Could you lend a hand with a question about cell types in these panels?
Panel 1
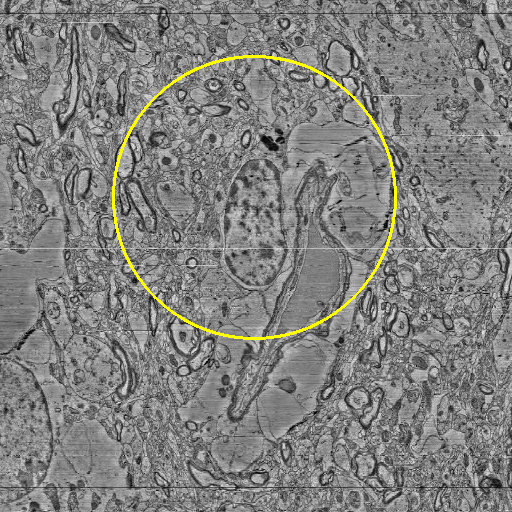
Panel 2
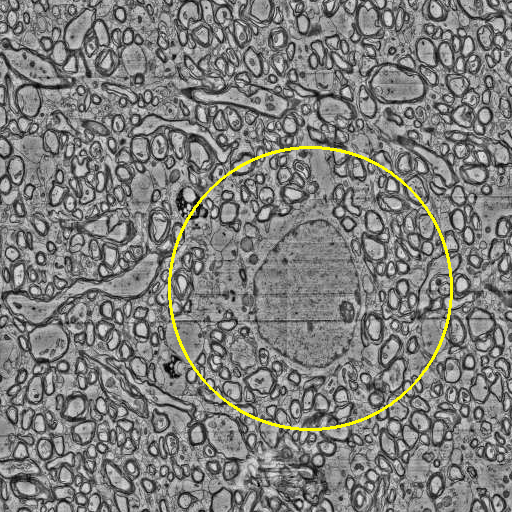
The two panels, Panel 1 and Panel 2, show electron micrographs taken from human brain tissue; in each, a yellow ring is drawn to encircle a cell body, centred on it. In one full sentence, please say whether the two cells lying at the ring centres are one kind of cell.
No, the cells at the ring centres in the two panels are two kinds of cell.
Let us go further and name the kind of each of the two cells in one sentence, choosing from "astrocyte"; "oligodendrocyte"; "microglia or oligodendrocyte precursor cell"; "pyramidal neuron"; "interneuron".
The ring of the first picture is on a microglial cell or oligodendrocyte precursor cell, the ring of the second on an astrocyte.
